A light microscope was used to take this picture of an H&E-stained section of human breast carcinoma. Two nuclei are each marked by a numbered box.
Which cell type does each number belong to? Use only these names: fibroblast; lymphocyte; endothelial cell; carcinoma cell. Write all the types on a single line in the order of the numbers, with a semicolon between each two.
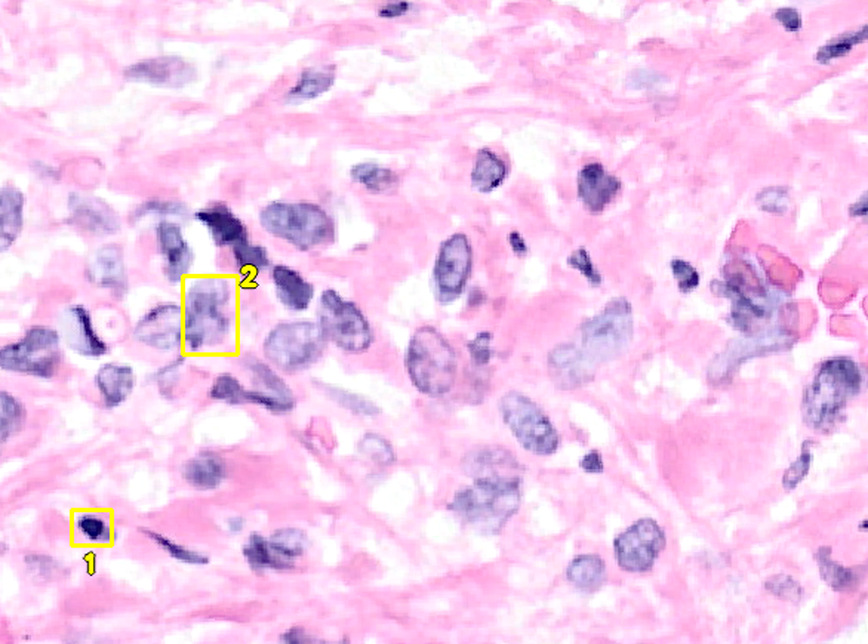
lymphocyte; carcinoma cell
